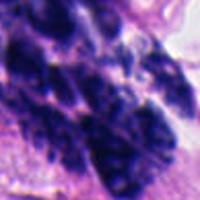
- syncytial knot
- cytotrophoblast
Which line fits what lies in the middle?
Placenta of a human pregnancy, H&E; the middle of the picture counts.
syncytial knot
